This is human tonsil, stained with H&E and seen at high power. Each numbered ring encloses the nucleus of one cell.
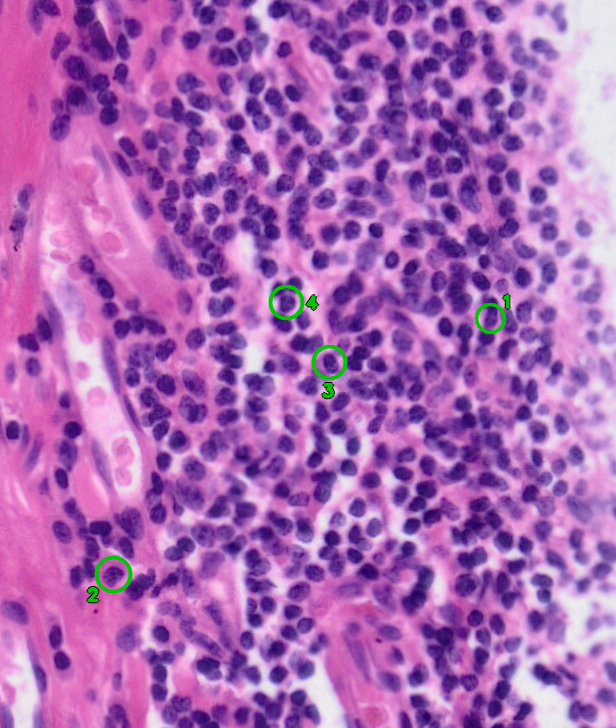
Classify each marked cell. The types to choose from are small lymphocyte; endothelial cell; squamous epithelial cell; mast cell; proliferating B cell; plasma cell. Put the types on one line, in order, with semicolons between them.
small lymphocyte; plasma cell; small lymphocyte; small lymphocyte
